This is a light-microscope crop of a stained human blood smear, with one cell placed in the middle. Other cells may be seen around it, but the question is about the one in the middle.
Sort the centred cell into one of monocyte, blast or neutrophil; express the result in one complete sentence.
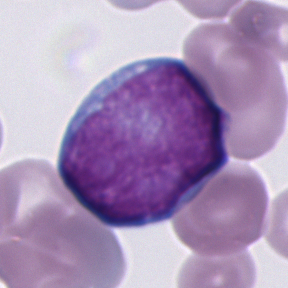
In the crop, the cell of interest at the centre is a blast.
